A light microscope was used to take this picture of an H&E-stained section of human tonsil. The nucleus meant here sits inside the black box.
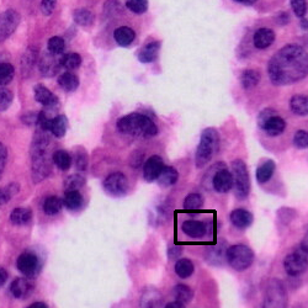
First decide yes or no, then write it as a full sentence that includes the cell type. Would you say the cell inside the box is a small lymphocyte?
No; the cell inside the box should be labelled a plasma cell rather than a small lymphocyte.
